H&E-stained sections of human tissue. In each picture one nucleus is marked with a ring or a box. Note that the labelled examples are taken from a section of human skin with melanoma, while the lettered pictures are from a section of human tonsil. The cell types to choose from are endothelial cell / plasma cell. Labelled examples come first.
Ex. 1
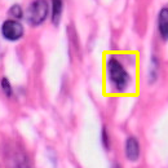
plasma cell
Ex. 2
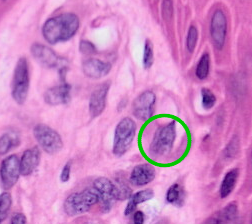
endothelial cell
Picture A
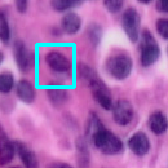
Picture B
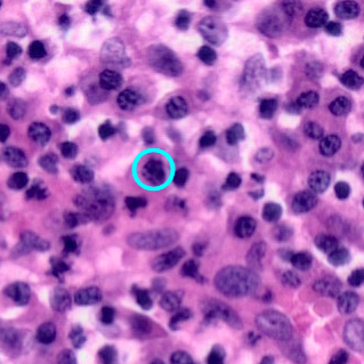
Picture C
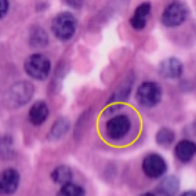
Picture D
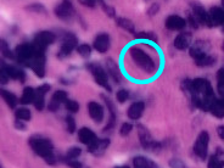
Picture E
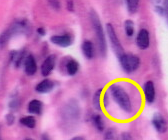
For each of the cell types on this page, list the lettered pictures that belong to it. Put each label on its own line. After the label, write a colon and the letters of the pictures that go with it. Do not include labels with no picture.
endothelial cell: A, D, E
plasma cell: B, C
